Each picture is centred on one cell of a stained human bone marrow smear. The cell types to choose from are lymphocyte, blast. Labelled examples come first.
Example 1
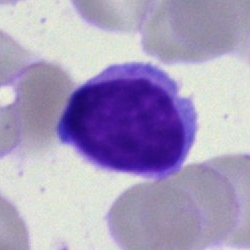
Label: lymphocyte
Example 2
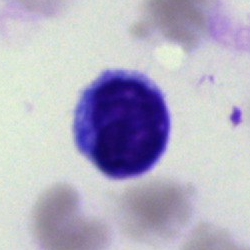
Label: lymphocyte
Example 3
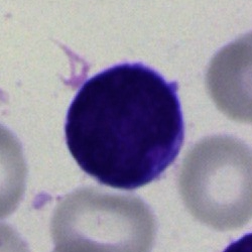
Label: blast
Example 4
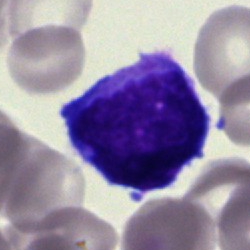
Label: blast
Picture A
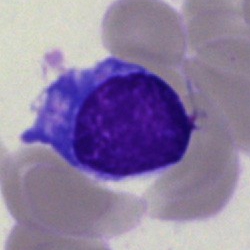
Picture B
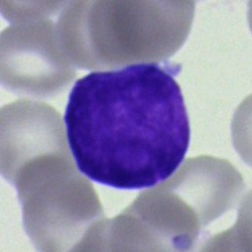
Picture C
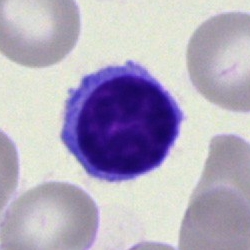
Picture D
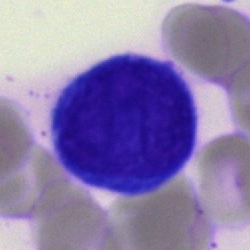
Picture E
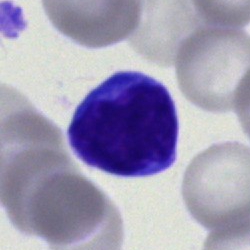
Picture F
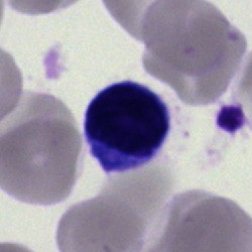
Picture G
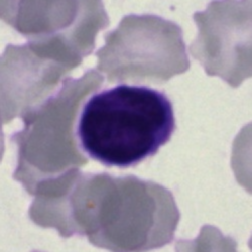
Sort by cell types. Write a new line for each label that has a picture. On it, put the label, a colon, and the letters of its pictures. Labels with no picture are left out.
lymphocyte: A, C, F, G
blast: B, D, E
